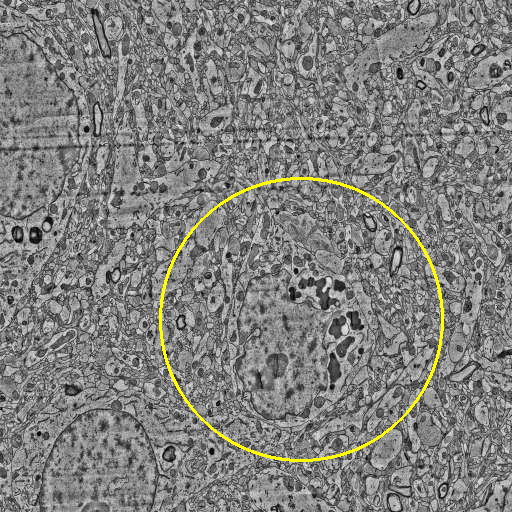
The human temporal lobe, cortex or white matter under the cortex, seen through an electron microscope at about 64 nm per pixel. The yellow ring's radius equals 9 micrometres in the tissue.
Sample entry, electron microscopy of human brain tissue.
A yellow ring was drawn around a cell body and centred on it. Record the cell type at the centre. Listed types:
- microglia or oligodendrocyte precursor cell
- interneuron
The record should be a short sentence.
The cell at the ring's centre is an interneuron.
